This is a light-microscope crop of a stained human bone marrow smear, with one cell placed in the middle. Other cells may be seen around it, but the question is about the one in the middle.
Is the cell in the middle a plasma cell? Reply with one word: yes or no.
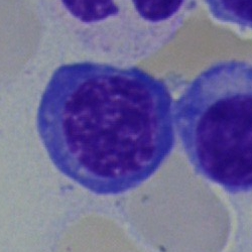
yes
